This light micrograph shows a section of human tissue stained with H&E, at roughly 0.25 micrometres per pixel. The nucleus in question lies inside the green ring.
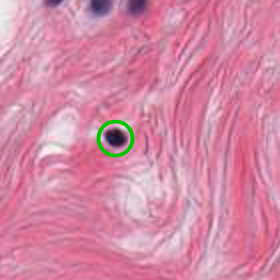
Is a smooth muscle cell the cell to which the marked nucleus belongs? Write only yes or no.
no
